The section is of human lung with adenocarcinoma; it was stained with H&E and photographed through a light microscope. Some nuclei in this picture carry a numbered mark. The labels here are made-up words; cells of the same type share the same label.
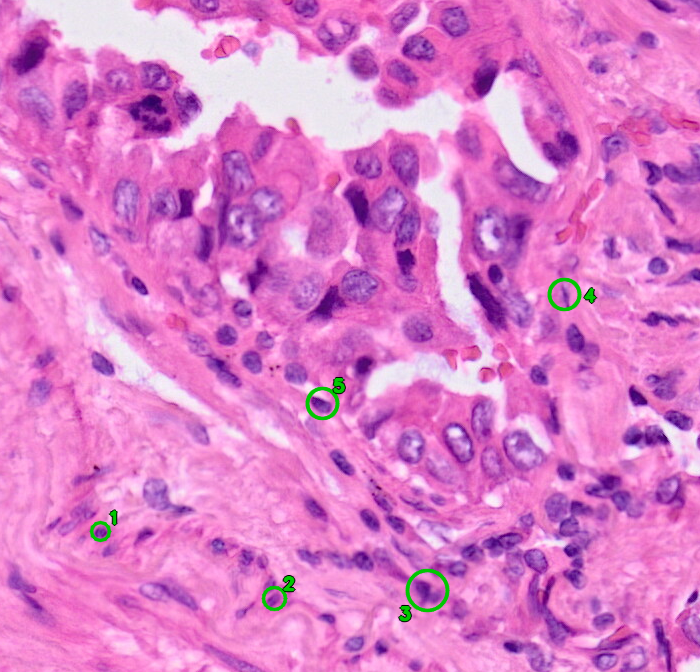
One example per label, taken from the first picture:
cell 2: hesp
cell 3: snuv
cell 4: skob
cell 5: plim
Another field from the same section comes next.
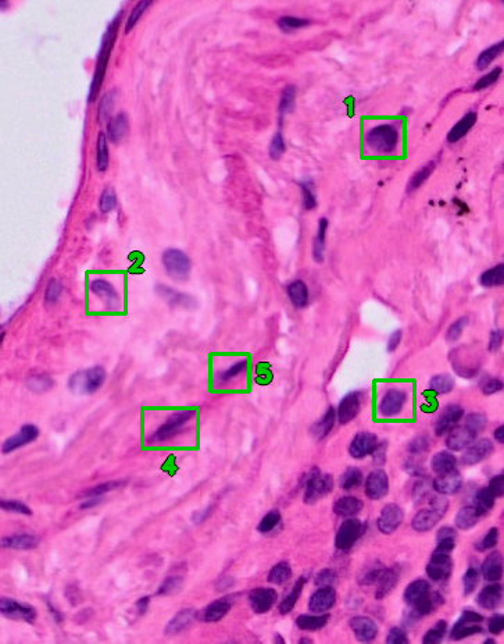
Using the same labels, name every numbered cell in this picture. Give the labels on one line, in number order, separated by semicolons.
snuv; hesp; plim; hesp; hesp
